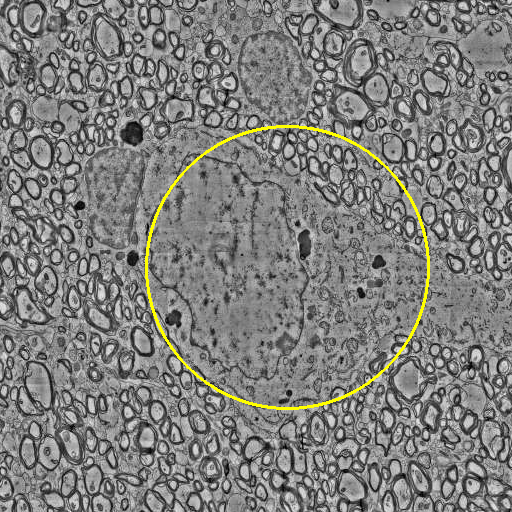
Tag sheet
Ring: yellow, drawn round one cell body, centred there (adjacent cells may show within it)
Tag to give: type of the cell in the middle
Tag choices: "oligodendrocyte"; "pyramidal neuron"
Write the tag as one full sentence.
I tag the cell centred in the yellow ring as a pyramidal neuron in this picture.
